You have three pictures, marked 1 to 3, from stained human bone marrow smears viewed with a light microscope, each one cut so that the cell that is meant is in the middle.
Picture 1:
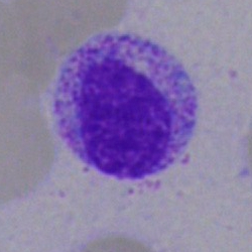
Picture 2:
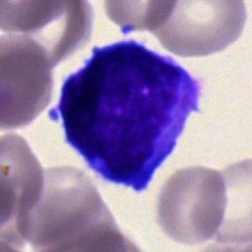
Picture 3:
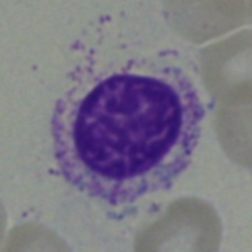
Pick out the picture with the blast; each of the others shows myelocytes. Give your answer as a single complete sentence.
The cell in picture 2 is the blast.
